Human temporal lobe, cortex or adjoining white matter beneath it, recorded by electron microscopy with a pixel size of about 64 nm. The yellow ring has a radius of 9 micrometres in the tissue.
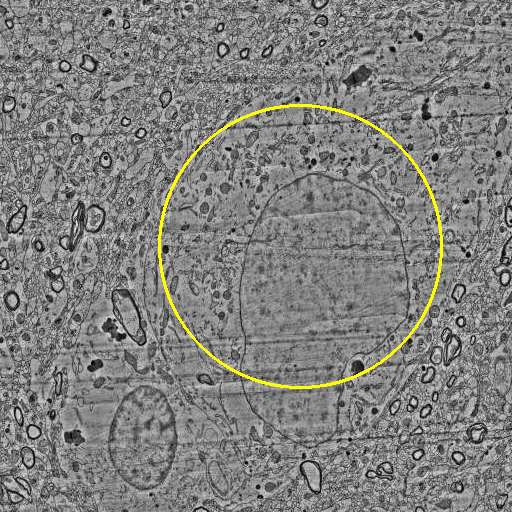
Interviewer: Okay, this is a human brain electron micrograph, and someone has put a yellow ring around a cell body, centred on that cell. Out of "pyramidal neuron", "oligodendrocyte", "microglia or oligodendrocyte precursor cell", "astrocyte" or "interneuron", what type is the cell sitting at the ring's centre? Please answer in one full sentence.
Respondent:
The cell at the centre of the yellow ring in this picture is a pyramidal neuron.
